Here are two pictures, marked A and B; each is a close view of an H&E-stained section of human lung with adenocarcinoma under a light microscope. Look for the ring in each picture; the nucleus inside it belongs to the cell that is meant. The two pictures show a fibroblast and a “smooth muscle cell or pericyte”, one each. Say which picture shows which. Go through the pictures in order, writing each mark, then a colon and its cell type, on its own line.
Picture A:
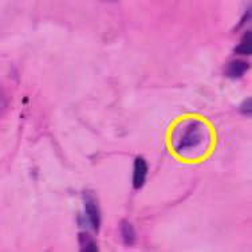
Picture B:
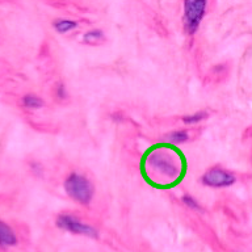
A: fibroblast
B: smooth muscle cell or pericyte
